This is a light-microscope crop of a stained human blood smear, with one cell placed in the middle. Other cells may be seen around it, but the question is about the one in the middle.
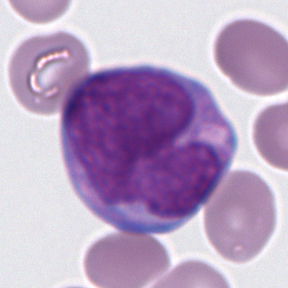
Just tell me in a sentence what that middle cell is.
The cell around which this crop is centred is an atypical promyelocyte.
